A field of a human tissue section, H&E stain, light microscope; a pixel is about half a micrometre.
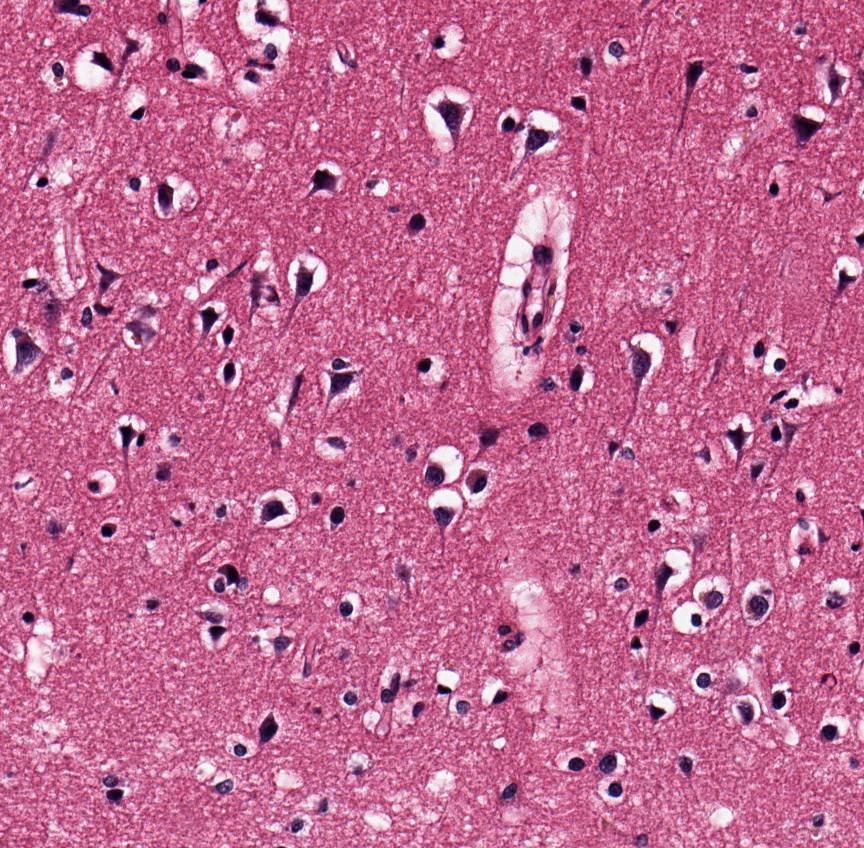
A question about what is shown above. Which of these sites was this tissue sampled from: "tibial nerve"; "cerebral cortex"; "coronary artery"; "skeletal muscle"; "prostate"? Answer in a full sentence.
The site this tissue was sampled from is the cerebral cortex.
